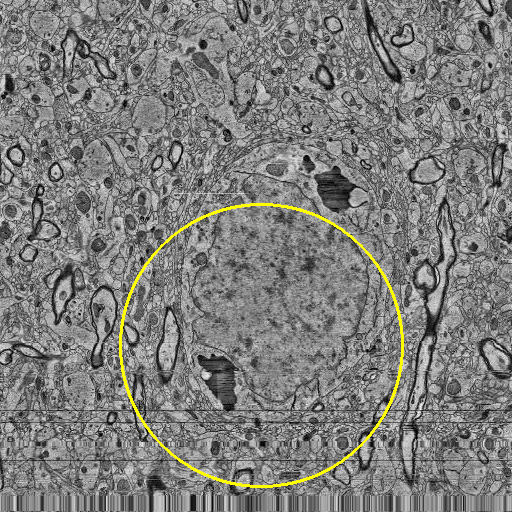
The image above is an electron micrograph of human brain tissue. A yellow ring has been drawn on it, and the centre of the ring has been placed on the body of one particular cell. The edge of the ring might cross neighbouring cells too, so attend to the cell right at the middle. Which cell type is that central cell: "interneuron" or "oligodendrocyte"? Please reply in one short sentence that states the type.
The central cell in the ring is an interneuron.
